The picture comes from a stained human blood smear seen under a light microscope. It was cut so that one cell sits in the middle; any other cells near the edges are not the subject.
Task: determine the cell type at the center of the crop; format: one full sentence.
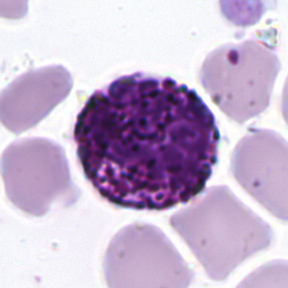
Answering briefly, the cell in the middle is a basophil.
